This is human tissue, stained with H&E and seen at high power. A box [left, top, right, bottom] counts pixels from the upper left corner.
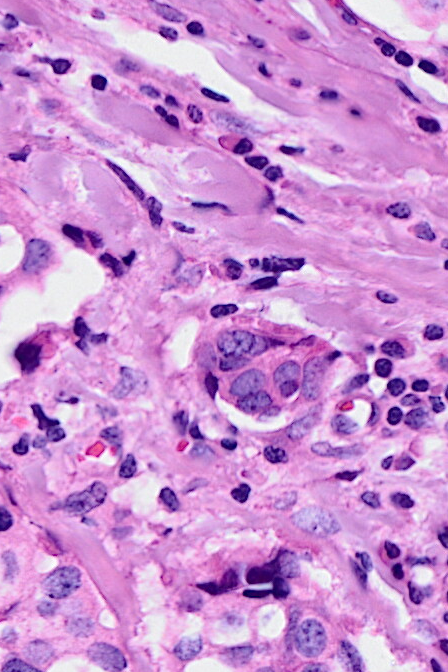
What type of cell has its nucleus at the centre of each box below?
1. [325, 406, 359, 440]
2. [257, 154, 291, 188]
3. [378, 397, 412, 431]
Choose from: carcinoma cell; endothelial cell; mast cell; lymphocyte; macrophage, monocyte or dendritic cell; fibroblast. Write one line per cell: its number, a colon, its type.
1: endothelial cell
2: lymphocyte
3: lymphocyte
